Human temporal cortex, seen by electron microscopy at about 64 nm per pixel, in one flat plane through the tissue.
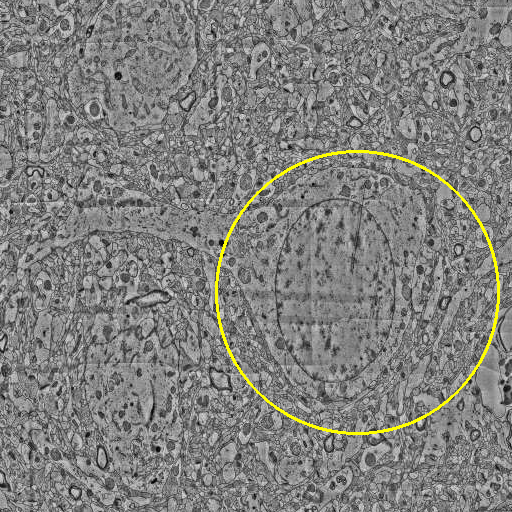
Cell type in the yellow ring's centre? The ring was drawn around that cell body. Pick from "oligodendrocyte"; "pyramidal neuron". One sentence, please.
The ringed cell body is that of a pyramidal neuron.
